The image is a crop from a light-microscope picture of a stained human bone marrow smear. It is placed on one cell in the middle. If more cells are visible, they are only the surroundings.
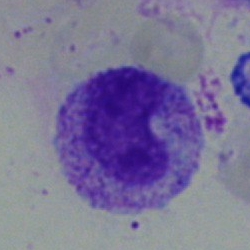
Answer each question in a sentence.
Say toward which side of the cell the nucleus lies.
The nucleus sits off-centre, toward the top.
